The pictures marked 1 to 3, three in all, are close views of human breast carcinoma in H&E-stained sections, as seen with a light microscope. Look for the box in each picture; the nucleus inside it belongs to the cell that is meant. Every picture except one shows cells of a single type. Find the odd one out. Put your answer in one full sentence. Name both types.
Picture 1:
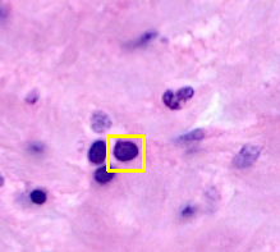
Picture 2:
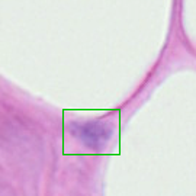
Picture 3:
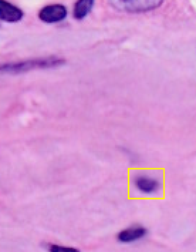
The others show lymphocytes, but picture 2 shows a fibroblast.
